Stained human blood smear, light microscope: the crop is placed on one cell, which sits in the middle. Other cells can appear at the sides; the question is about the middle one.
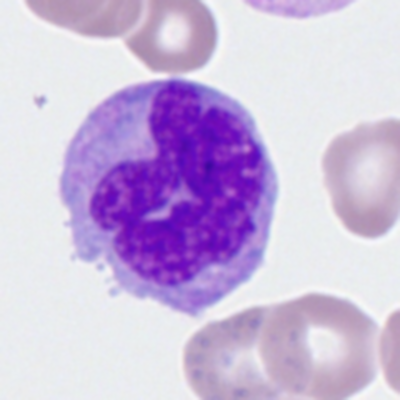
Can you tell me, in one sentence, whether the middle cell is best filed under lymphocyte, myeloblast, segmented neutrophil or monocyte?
What the crop centres on is a monocyte.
